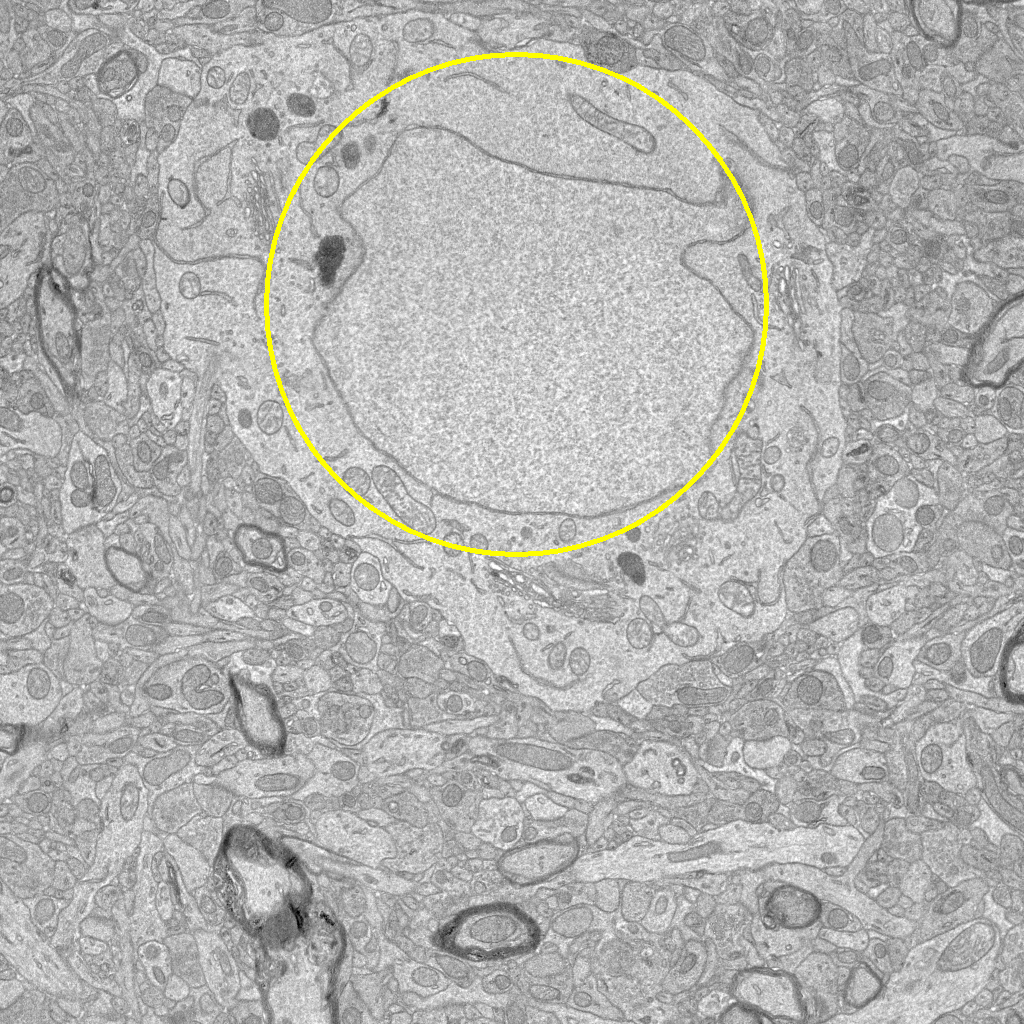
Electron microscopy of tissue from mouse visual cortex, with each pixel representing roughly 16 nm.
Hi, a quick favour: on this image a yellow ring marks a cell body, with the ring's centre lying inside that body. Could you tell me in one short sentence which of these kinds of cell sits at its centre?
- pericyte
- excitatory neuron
The ring's centre lies in an excitatory neuron.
